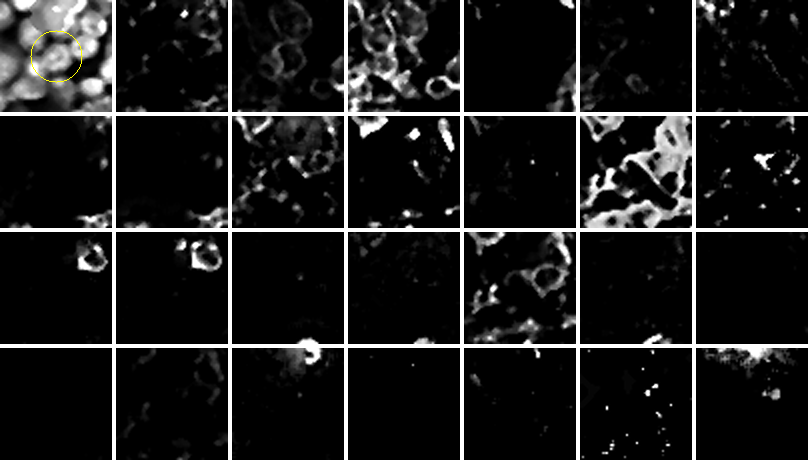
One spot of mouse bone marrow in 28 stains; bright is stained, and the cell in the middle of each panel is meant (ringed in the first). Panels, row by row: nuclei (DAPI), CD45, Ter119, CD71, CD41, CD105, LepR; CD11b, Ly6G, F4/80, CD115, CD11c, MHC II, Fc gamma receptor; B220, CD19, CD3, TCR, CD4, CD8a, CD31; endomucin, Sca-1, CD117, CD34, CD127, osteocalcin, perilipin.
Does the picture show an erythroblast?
Yes.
